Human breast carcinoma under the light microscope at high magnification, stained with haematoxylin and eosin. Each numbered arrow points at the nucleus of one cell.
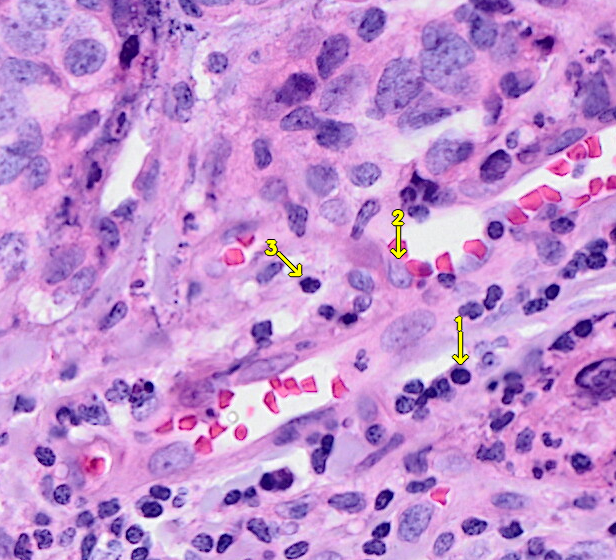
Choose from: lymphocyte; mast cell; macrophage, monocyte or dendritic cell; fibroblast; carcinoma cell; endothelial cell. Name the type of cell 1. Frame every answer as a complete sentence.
The cell tagged with 1 in this tissue section is a lymphocyte.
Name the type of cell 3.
In the marked set, the cell given number 3 is a lymphocyte.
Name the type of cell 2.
Looking at the numbered marks, cell 2 is an endothelial cell.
